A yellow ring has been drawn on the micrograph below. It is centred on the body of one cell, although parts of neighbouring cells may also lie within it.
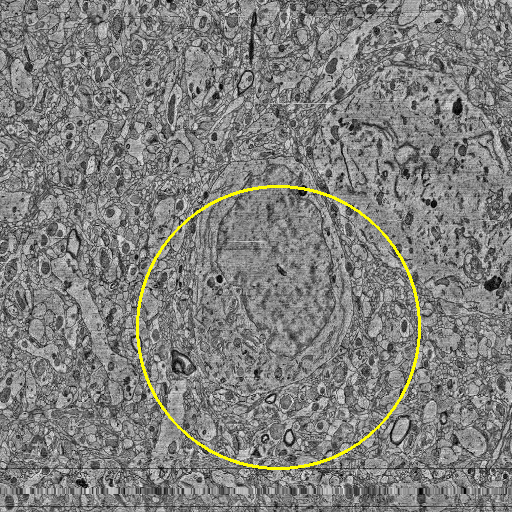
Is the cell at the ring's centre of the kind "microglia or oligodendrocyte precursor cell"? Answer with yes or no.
no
